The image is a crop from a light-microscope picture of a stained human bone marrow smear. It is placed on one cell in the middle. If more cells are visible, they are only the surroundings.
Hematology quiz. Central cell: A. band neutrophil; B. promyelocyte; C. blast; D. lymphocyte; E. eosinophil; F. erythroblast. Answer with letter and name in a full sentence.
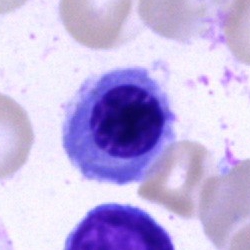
Answer key: option F, the middle cell being an erythroblast.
